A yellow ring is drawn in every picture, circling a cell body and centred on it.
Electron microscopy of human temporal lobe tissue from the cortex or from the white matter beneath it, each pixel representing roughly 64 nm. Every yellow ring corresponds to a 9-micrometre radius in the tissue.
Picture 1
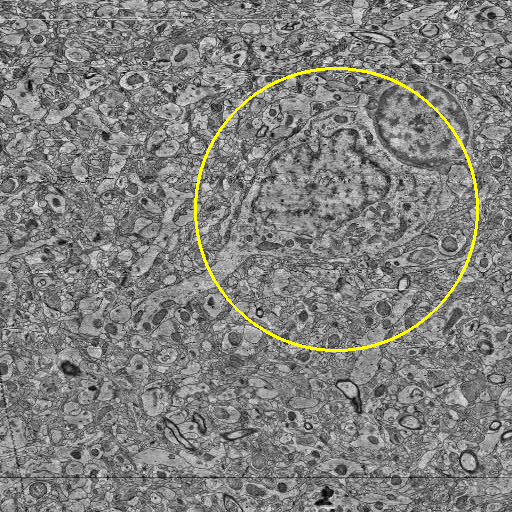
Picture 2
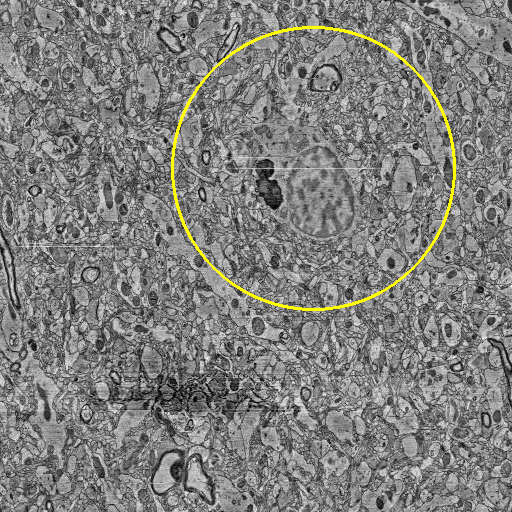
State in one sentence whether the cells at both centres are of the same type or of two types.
The cells at the two ring centres, one per picture, are of two types.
